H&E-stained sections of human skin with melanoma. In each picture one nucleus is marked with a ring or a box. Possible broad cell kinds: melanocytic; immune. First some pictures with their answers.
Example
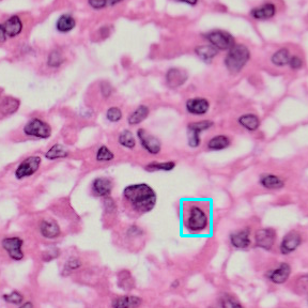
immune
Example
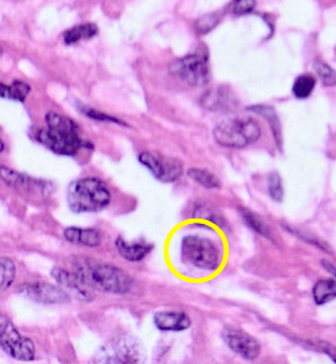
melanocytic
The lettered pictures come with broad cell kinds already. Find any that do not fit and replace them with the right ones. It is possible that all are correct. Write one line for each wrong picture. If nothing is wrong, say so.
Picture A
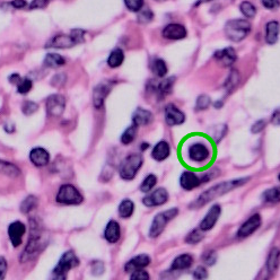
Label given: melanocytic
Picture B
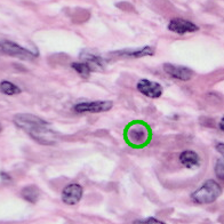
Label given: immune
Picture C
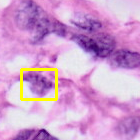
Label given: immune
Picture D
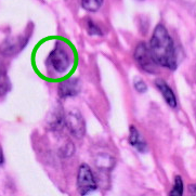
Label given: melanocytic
A: change melanocytic to immune
C: change immune to melanocytic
